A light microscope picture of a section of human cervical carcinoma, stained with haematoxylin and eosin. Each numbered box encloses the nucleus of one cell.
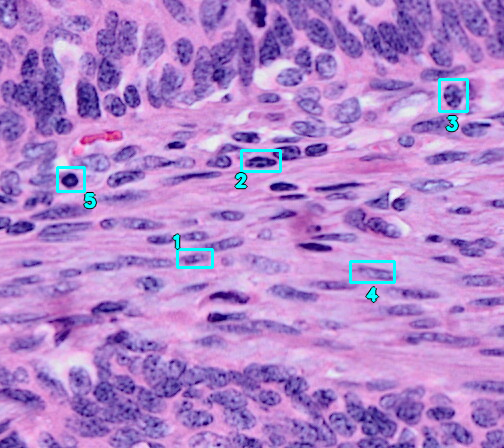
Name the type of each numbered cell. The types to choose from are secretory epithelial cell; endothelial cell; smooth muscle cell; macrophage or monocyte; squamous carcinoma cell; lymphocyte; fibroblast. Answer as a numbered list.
1. smooth muscle cell
2. lymphocyte
3. lymphocyte
4. smooth muscle cell
5. lymphocyte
